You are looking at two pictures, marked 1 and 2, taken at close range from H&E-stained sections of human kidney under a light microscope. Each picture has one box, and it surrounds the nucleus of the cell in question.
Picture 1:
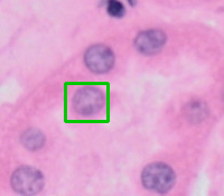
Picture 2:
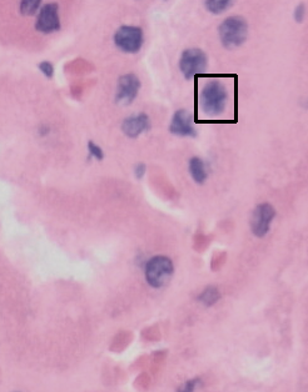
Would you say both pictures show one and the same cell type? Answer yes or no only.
no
